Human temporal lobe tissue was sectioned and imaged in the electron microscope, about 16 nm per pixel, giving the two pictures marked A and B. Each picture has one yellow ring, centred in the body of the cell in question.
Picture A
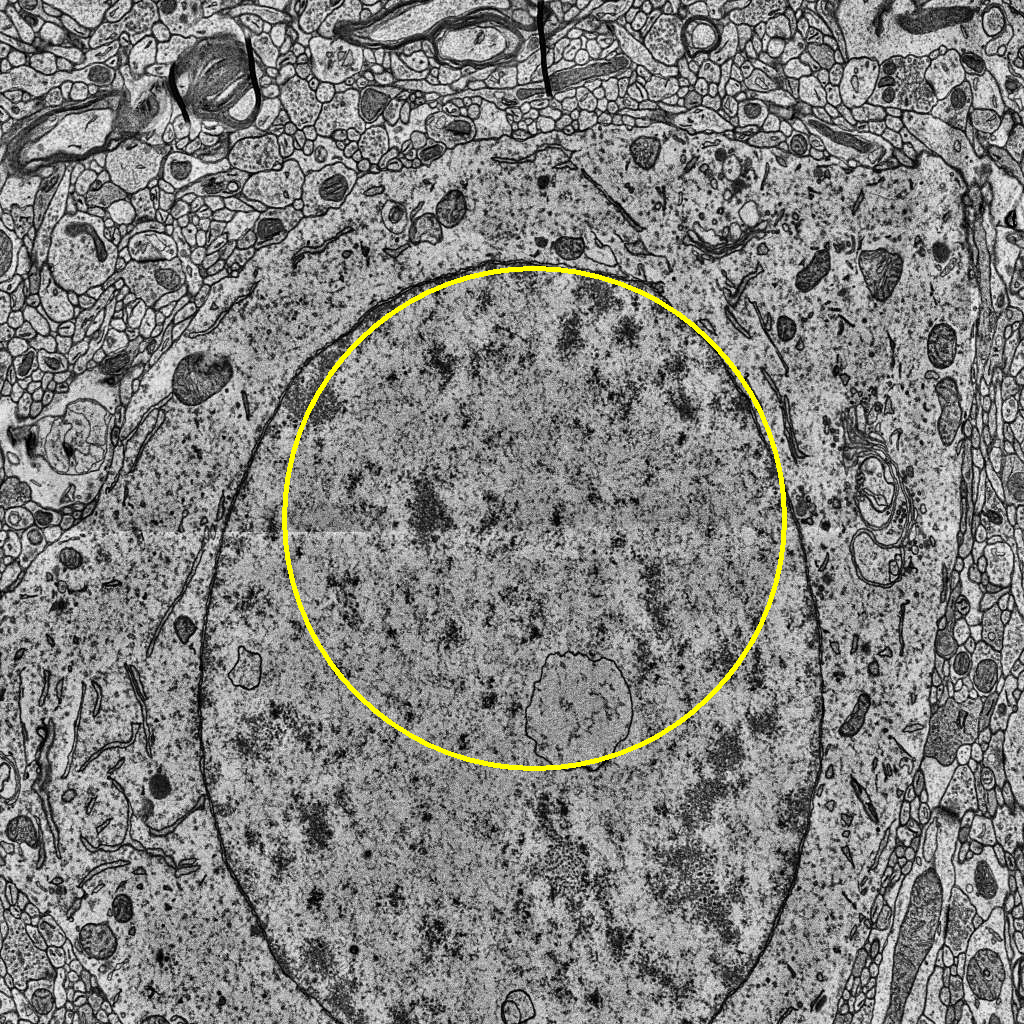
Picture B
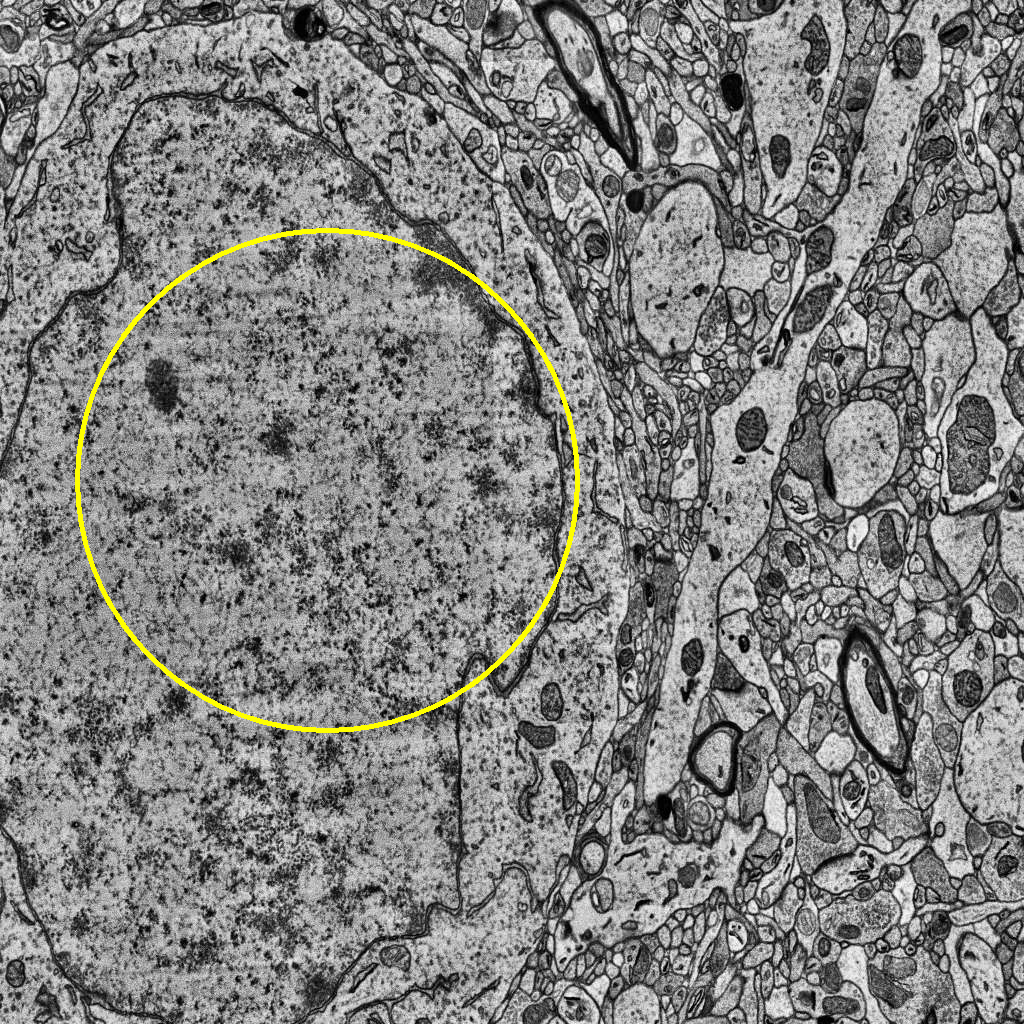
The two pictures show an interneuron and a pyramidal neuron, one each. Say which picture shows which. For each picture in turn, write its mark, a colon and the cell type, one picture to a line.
A: pyramidal neuron
B: interneuron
